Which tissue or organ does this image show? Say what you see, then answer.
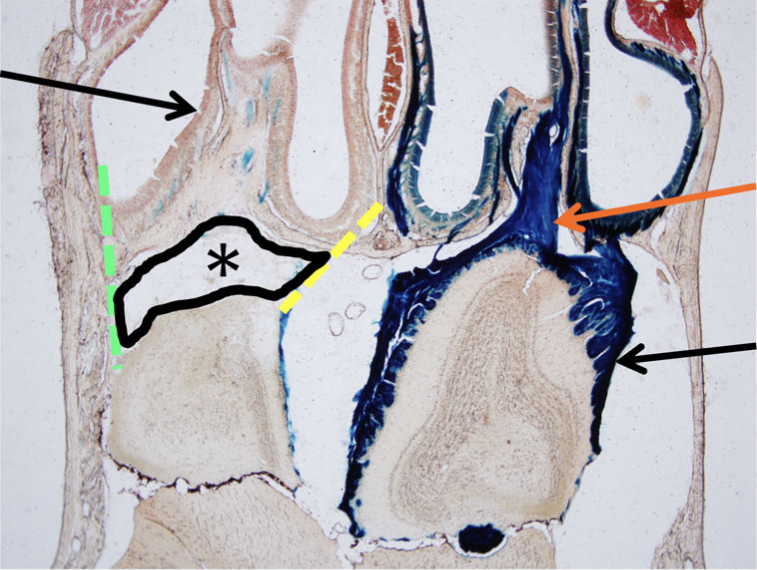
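Olfactory bulbs. Two paired oval, layered neural structures lie side by side behind the nasal cavities.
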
